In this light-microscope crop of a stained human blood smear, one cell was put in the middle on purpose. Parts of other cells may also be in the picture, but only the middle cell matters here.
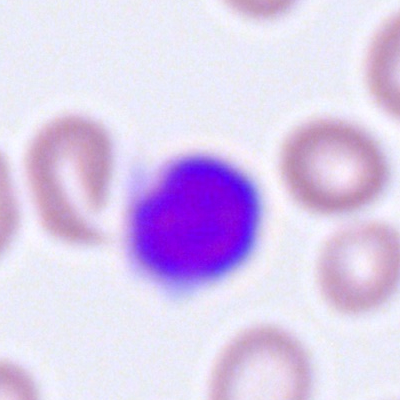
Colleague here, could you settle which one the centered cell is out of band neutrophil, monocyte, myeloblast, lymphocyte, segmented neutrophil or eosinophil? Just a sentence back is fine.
Positioned in the middle of the crop is a lymphocyte.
